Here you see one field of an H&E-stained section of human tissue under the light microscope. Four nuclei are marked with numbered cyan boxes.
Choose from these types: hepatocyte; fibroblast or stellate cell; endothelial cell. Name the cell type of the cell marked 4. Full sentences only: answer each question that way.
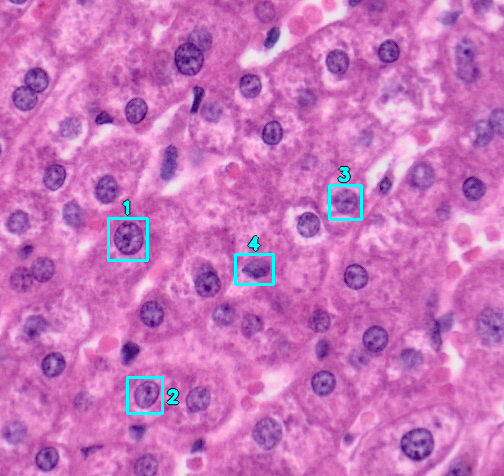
In this section, number 4 marks an endothelial cell.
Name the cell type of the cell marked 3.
The cell bearing label 3 corresponds to a hepatocyte.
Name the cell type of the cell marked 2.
Denoted by the label 2 in the section is a hepatocyte.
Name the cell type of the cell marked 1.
The cell indicated with the number 1 is classed as a hepatocyte.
